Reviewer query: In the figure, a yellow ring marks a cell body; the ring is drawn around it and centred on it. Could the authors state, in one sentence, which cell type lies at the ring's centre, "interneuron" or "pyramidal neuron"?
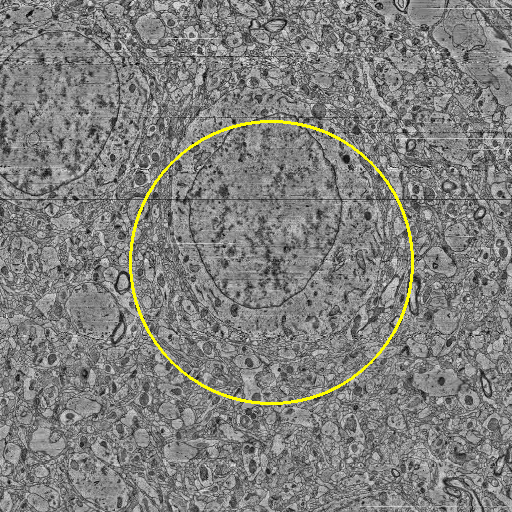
The ring is centred on a pyramidal neuron.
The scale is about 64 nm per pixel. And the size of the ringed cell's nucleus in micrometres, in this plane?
The nucleus is approximately 13 micrometers long by 10 micrometers wide in this plane.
